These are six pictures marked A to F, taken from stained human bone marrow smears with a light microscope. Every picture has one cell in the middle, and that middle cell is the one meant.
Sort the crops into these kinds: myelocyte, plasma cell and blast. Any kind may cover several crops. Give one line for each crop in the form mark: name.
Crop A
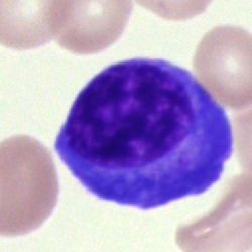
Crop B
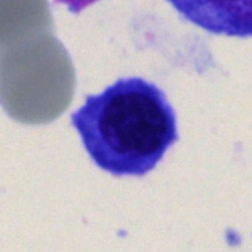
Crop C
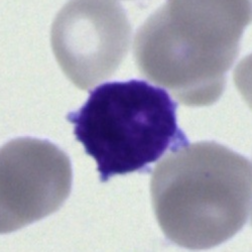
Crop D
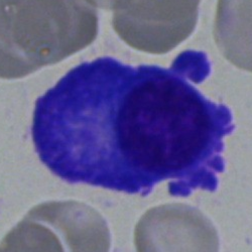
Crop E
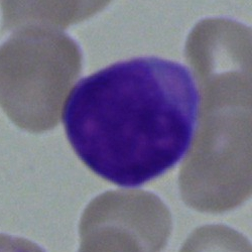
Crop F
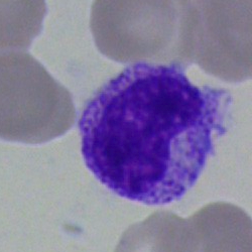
A: plasma cell
B: plasma cell
C: blast
D: plasma cell
E: blast
F: myelocyte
